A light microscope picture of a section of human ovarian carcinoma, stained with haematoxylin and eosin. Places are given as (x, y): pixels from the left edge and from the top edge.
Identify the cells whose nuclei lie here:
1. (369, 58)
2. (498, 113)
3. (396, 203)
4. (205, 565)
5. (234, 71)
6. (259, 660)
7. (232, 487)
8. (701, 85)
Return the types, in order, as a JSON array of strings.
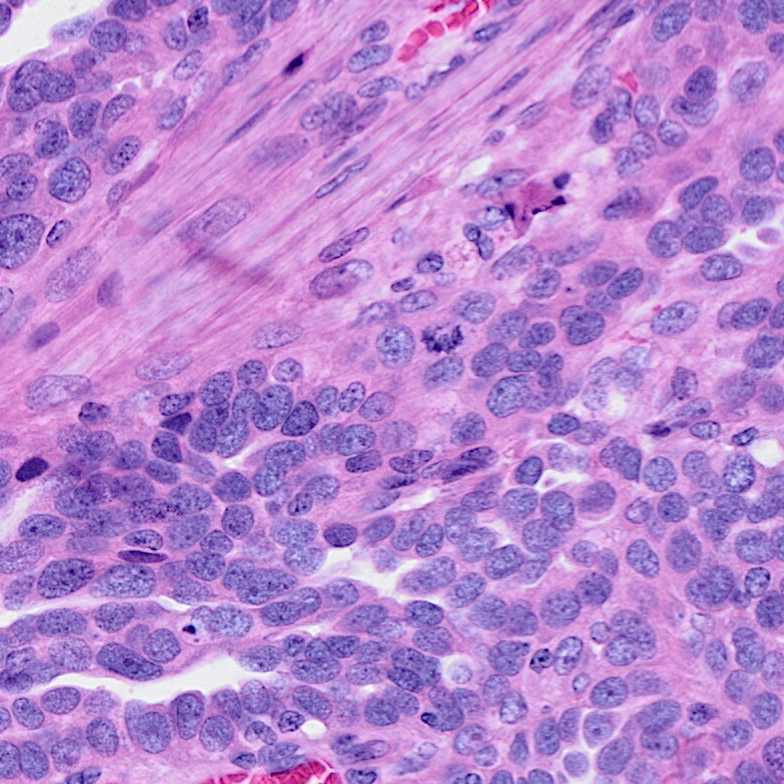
["endothelial cell", "fibroblast", "fibroblast", "carcinoma cell", "fibroblast", "carcinoma cell", "carcinoma cell", "carcinoma cell"]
